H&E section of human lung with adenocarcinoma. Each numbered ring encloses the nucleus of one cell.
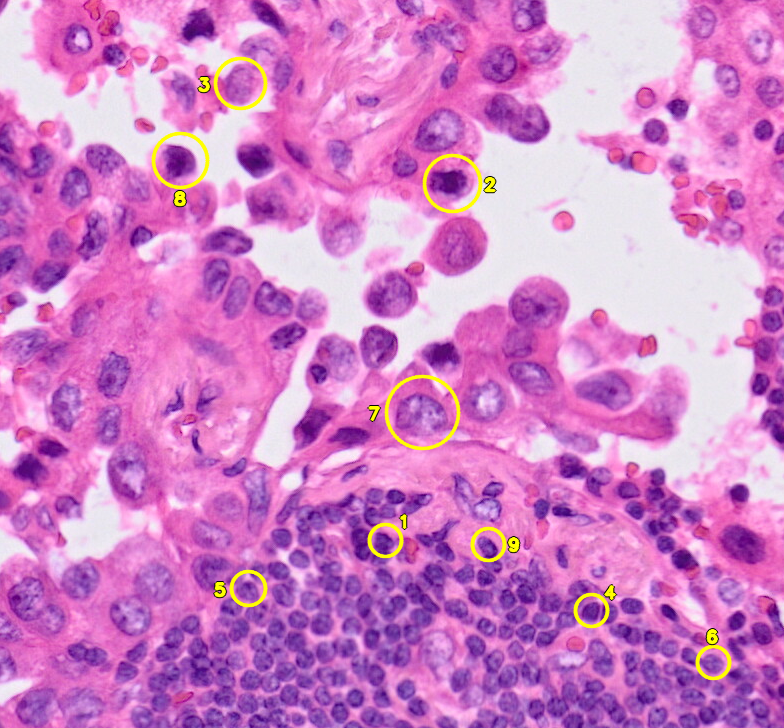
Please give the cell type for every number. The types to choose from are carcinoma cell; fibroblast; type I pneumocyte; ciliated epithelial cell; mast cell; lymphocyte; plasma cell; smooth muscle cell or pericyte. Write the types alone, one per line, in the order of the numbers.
lymphocyte
carcinoma cell
carcinoma cell
lymphocyte
lymphocyte
lymphocyte
carcinoma cell
carcinoma cell
lymphocyte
